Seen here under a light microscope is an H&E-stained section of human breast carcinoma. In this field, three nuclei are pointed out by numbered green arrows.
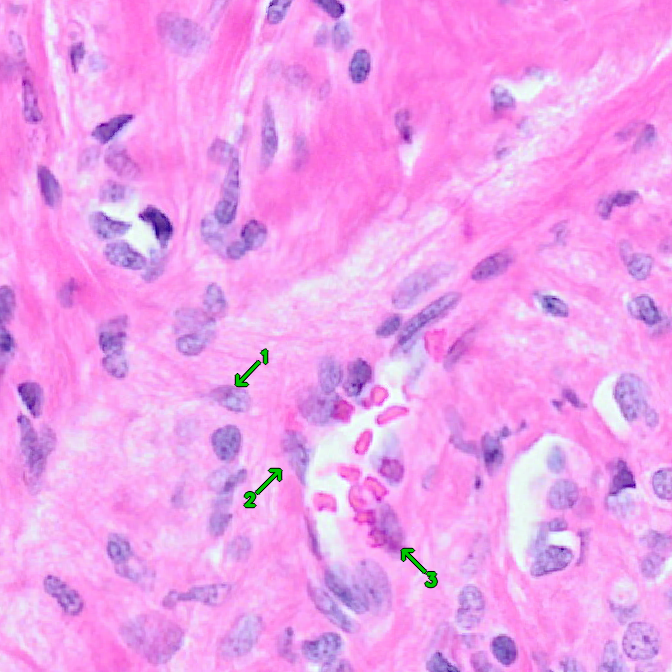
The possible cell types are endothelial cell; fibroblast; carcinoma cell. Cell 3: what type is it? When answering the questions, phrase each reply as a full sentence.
Belonging to an endothelial cell is the nucleus that carries the number 3.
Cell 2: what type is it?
The cell bearing label 2 corresponds to an endothelial cell.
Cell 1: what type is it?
The cell numbered 1 has been identified as a fibroblast.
